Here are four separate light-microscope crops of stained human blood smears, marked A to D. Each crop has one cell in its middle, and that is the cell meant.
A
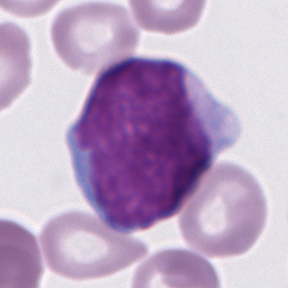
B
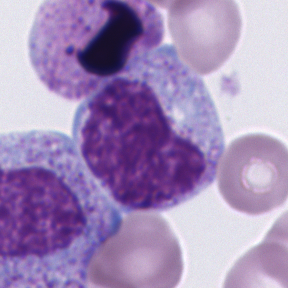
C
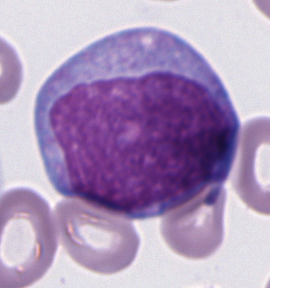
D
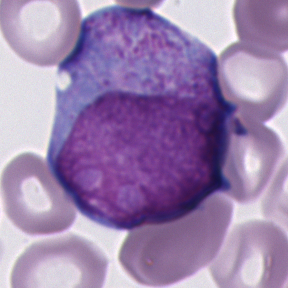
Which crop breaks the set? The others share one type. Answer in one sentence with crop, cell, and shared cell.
Shown in crop A is a blast, in contrast to the promyelocytes of all the other crops.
